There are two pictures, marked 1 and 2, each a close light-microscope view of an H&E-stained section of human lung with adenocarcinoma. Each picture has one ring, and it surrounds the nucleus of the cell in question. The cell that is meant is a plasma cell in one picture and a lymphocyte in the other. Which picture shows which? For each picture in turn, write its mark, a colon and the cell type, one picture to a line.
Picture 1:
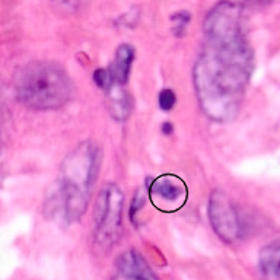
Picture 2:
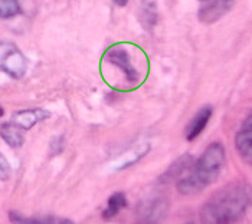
1: lymphocyte
2: plasma cell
